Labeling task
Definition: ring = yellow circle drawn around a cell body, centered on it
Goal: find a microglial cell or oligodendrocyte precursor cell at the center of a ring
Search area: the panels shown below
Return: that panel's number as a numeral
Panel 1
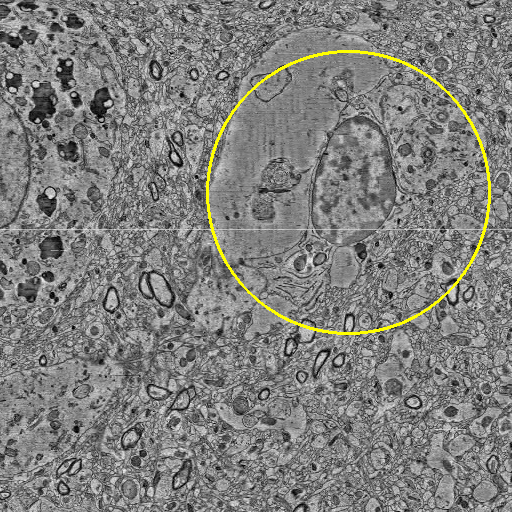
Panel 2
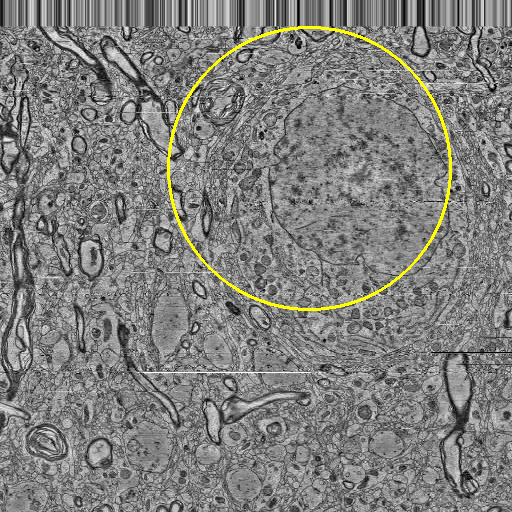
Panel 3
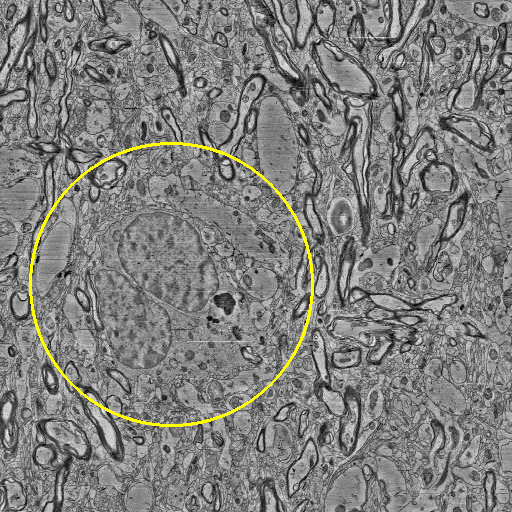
1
